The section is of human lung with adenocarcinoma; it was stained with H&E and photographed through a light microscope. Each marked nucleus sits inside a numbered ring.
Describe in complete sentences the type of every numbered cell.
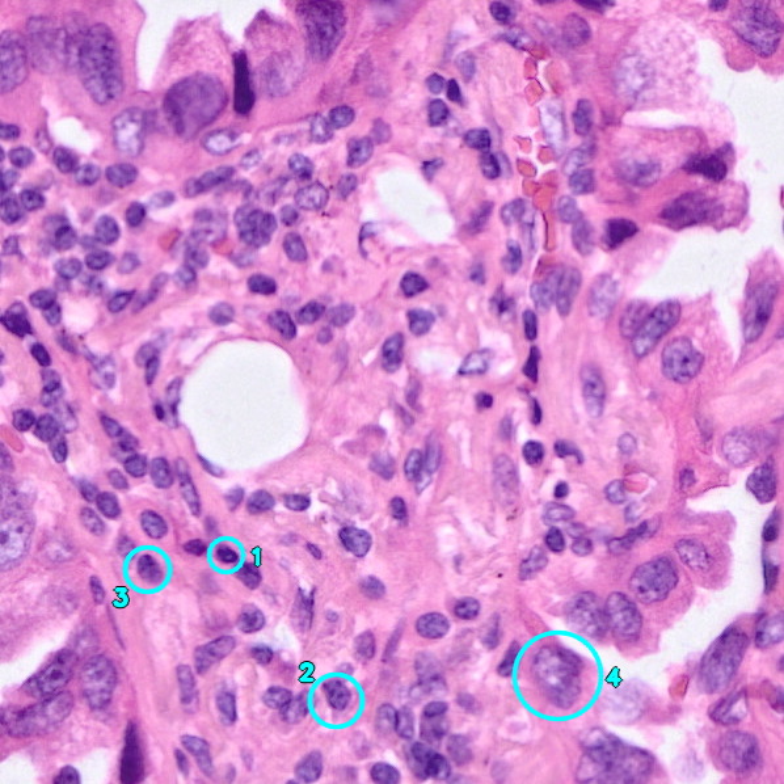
Cell 1 is a lymphocyte, cell 2 is a lymphocyte, cell 3 is a lymphocyte and cell 4 is a carcinoma cell.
